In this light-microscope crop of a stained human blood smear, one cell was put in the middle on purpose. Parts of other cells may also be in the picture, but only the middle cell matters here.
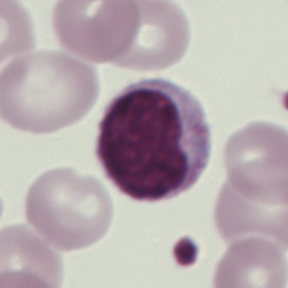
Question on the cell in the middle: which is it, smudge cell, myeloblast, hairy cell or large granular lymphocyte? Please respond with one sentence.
At the center of the crop sits a large granular lymphocyte.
